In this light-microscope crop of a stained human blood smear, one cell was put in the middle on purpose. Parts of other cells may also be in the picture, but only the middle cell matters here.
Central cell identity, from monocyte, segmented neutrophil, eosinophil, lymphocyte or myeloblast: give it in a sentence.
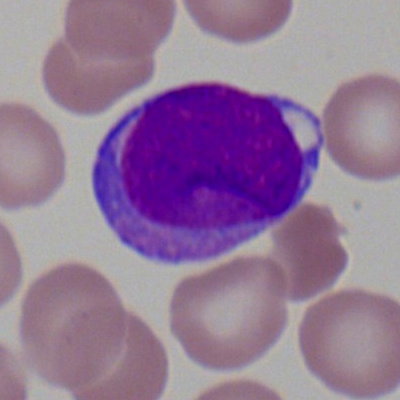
The middle of this crop is occupied by a myeloblast.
